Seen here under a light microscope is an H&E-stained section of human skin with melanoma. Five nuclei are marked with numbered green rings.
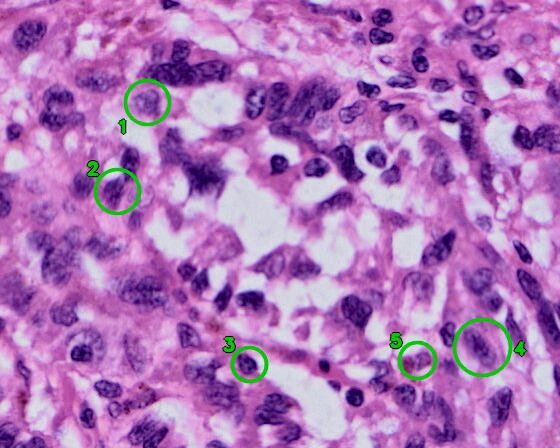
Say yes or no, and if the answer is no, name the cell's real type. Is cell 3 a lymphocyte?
Yes.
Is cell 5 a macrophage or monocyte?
Yes.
